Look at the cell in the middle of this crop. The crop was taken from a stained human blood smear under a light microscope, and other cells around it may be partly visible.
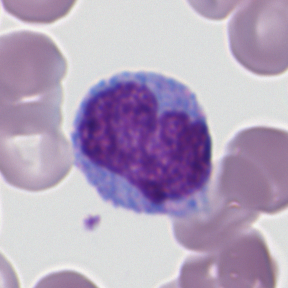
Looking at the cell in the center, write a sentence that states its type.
The cell the crop is centered on is a monocyte.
